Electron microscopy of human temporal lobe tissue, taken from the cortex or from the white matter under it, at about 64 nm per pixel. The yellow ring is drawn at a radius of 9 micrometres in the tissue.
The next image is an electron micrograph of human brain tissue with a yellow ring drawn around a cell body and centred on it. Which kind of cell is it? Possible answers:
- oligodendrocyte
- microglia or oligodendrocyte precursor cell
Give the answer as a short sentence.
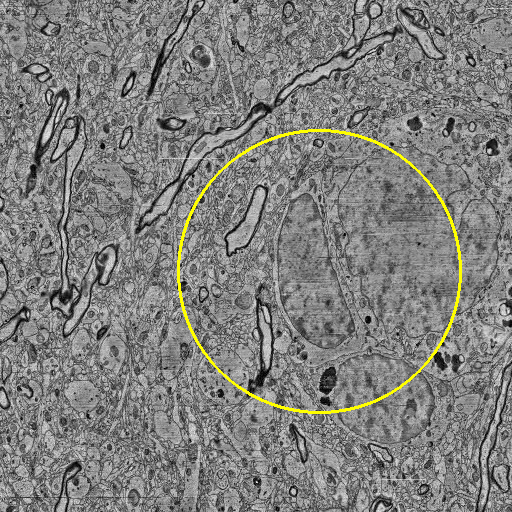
In the ring's centre is a microglial cell or oligodendrocyte precursor cell.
